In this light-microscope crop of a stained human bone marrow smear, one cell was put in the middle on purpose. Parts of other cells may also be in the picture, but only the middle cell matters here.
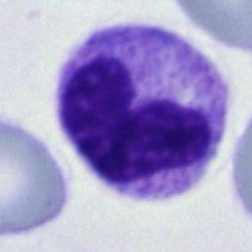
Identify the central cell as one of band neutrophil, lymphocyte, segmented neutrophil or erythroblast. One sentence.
Within this crop, a band neutrophil occupies the central position.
